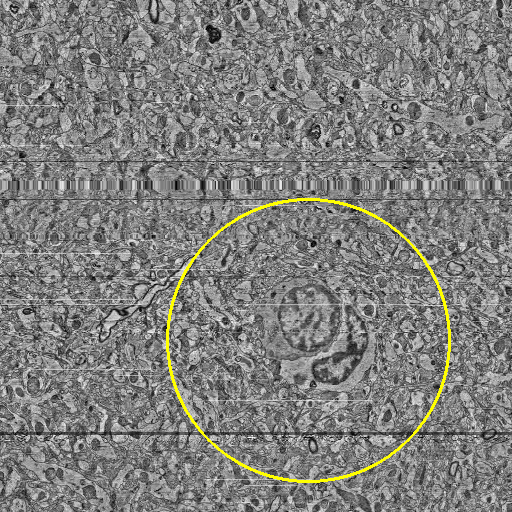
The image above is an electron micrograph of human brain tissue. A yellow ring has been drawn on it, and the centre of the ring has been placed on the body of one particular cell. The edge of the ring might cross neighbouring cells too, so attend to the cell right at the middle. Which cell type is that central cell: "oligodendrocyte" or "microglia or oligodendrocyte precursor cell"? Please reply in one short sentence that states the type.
The central cell in the ring is an oligodendrocyte.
